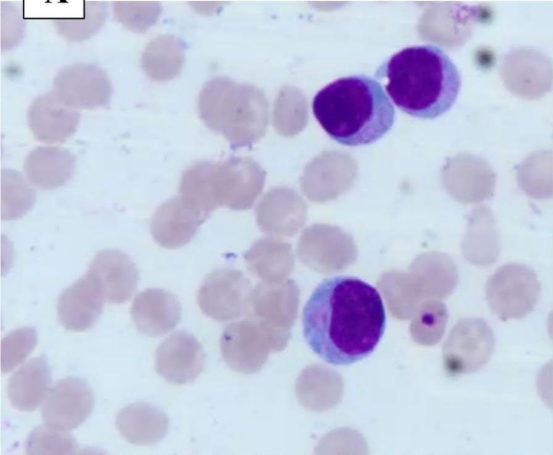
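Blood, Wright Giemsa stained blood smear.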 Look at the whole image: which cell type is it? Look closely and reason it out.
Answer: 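Three nucleated cells lie among the red cells, each somewhat larger than a red cell. Each has a round, dark purple nucleus with condensed chromatin. A rim of pale blue cytoplasm surrounds each nucleus. That points to this answer: intermediate sized lymphocytes.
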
